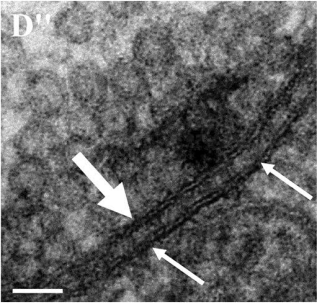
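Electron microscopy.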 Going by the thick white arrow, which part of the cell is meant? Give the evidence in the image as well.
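Presynaptic membrane. The arrow points to the membrane on the side of the many round vesicles. A dense patch lies against this membrane.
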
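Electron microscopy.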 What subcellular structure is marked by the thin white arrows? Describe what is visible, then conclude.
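The arrows point to a membrane running parallel to and just across a narrow cleft from the vesicle-side membrane. On this evidence: postsynaptic membrane.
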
